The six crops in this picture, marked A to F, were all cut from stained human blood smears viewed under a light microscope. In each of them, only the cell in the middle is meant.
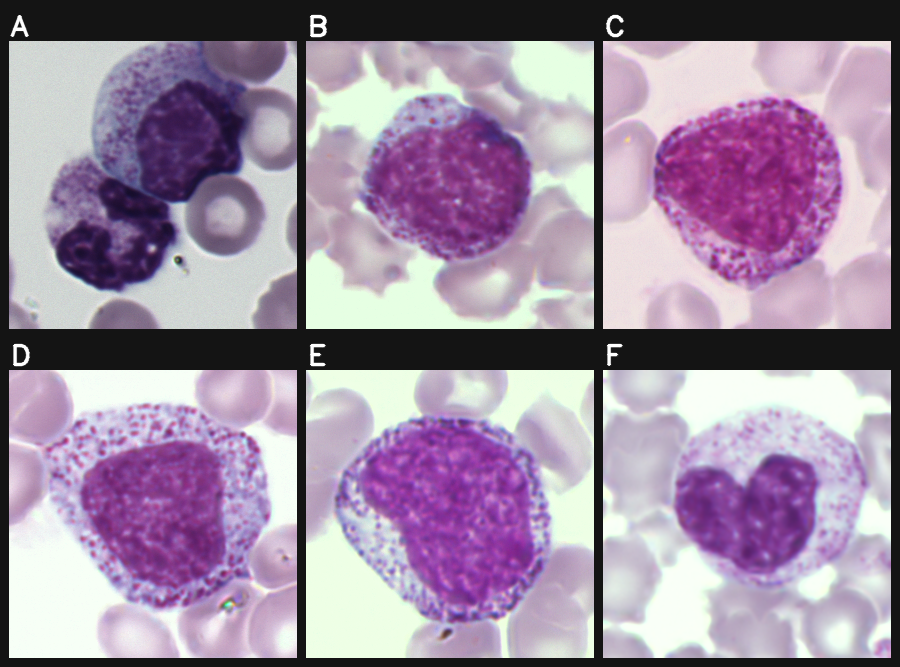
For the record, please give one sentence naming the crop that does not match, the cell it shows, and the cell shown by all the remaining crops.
The single exception is crop F, which is a metamyelocyte; all other crops show myelocytes.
